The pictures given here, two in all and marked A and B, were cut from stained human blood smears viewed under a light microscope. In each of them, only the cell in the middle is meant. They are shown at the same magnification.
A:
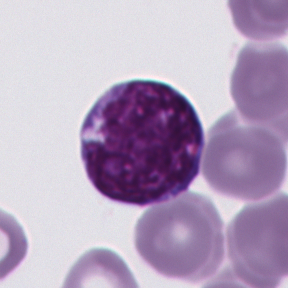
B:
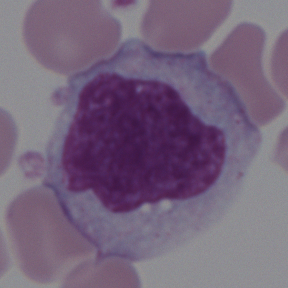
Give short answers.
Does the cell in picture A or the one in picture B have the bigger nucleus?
B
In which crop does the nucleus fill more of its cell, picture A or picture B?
A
